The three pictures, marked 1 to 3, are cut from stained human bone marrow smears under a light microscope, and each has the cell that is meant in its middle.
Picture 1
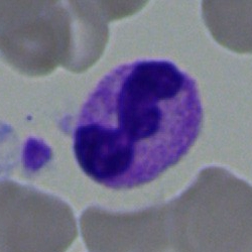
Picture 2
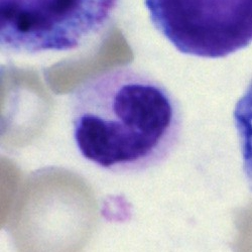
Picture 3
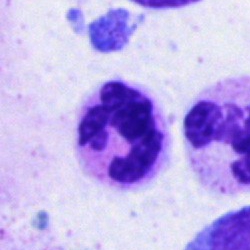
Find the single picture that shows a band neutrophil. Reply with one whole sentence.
The cell in picture 2 is the band neutrophil.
